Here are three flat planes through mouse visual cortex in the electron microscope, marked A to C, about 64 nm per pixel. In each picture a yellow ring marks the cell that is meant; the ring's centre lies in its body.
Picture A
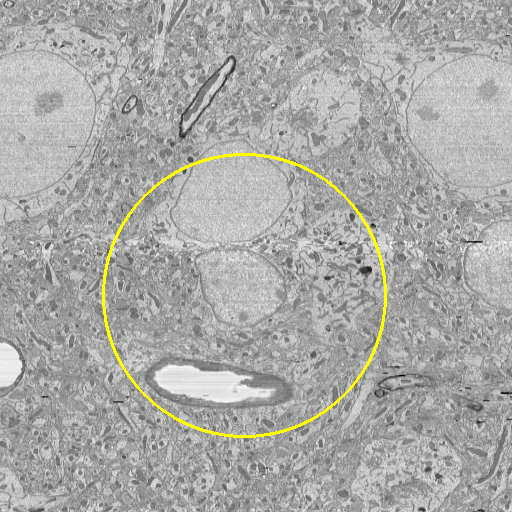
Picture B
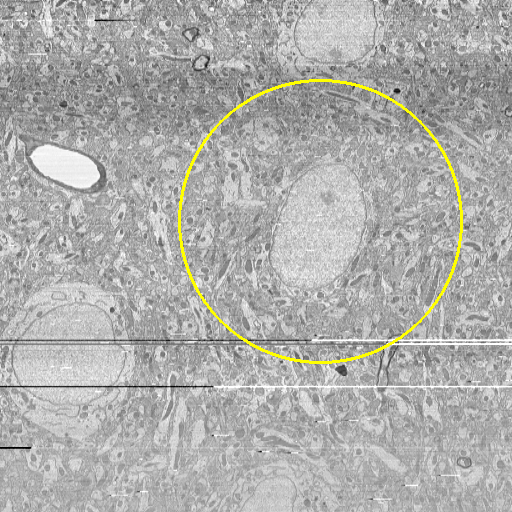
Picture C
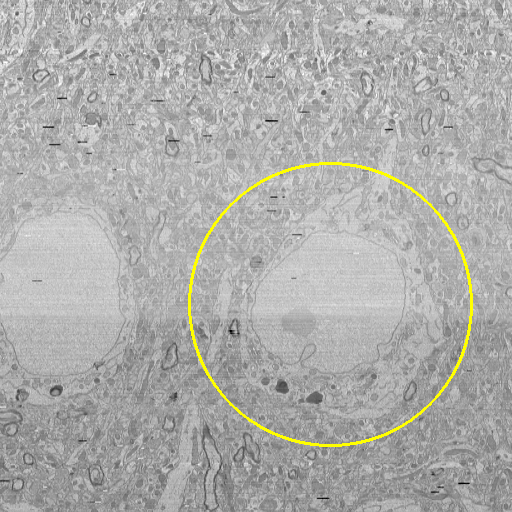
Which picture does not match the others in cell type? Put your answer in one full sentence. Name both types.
The different one is picture C; it shows an excitatory neuron, whereas all the others show astrocytes.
